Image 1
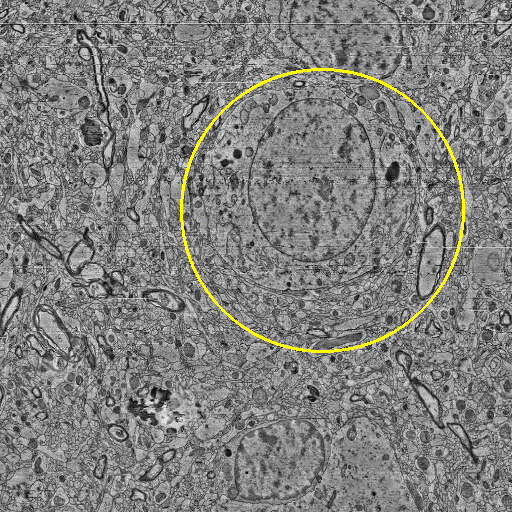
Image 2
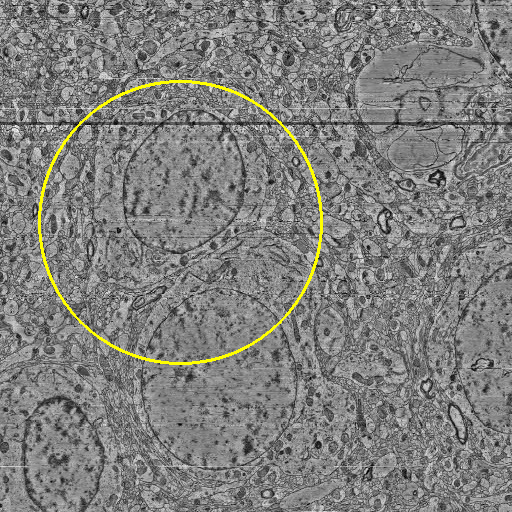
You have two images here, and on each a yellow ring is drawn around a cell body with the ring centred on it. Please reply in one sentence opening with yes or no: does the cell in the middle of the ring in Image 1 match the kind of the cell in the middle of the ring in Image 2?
Yes, the two images show cells of one kind at the centres of their rings.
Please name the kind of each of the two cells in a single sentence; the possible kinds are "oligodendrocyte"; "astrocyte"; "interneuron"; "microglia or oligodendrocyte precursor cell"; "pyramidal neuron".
In the first picture and in the second, the ring is centred on a pyramidal neuron.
